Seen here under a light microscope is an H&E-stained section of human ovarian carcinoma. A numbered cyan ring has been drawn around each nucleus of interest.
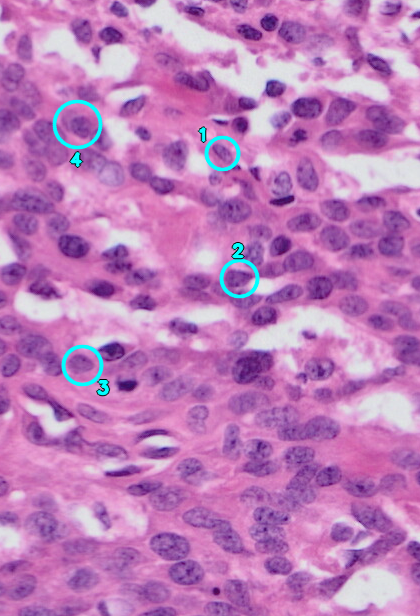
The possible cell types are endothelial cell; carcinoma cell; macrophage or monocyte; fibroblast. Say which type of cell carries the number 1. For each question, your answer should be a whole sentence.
The label 1 in this section denotes a macrophage or monocyte.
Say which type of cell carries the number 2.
The one numbered 2 among the marked cells is a carcinoma cell.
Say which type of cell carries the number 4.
The cell marked with number 4 is a carcinoma cell.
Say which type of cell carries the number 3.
The correct label for cell 3 is a carcinoma cell.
